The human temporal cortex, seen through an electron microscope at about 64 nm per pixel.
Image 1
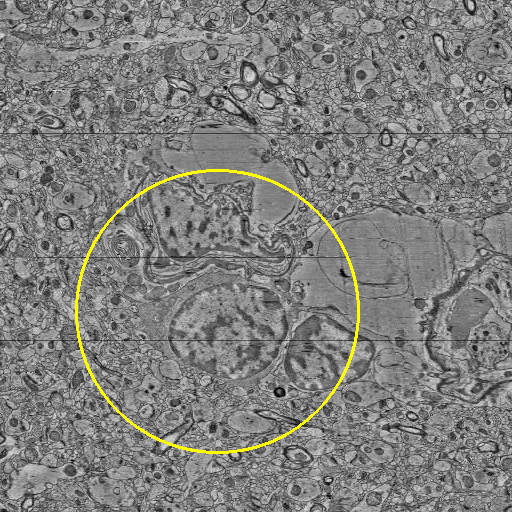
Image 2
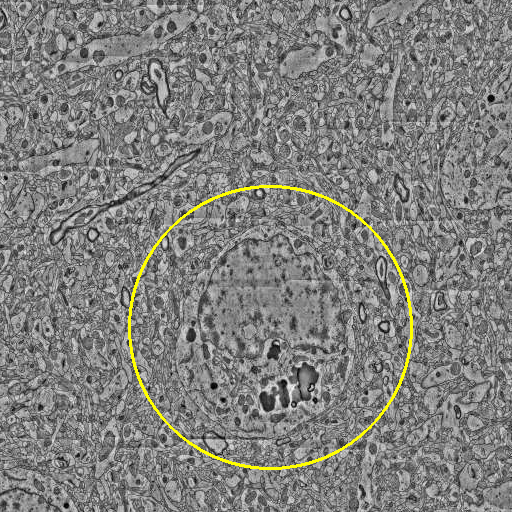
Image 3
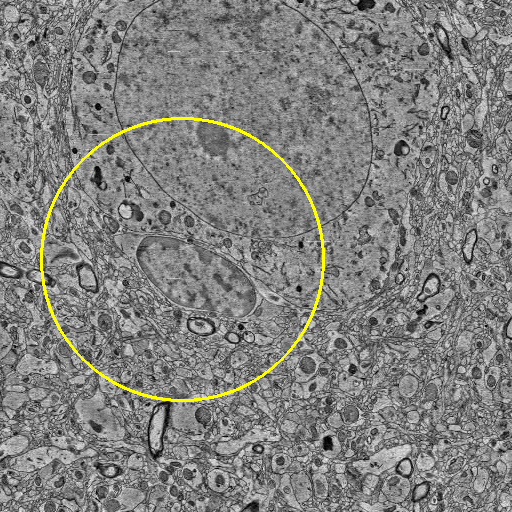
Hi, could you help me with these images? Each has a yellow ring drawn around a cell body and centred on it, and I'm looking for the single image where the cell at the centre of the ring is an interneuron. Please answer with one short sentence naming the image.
It is Image 2 that has it at the centre of its ring.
